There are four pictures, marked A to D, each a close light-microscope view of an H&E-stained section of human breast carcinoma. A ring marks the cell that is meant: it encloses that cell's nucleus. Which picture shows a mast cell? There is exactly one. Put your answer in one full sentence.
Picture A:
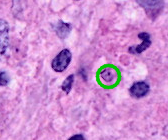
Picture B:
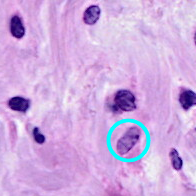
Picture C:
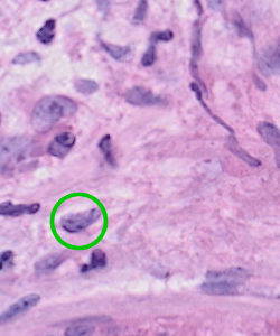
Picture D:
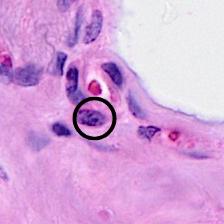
It is picture D that shows the mast cell.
